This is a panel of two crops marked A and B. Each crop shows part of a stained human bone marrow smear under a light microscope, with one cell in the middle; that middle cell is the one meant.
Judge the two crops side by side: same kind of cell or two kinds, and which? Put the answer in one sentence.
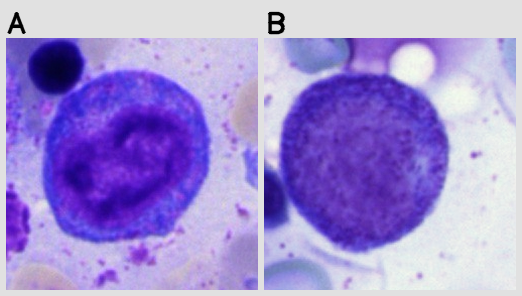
Yes, both the first crop and the second crop show promyelocytes.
